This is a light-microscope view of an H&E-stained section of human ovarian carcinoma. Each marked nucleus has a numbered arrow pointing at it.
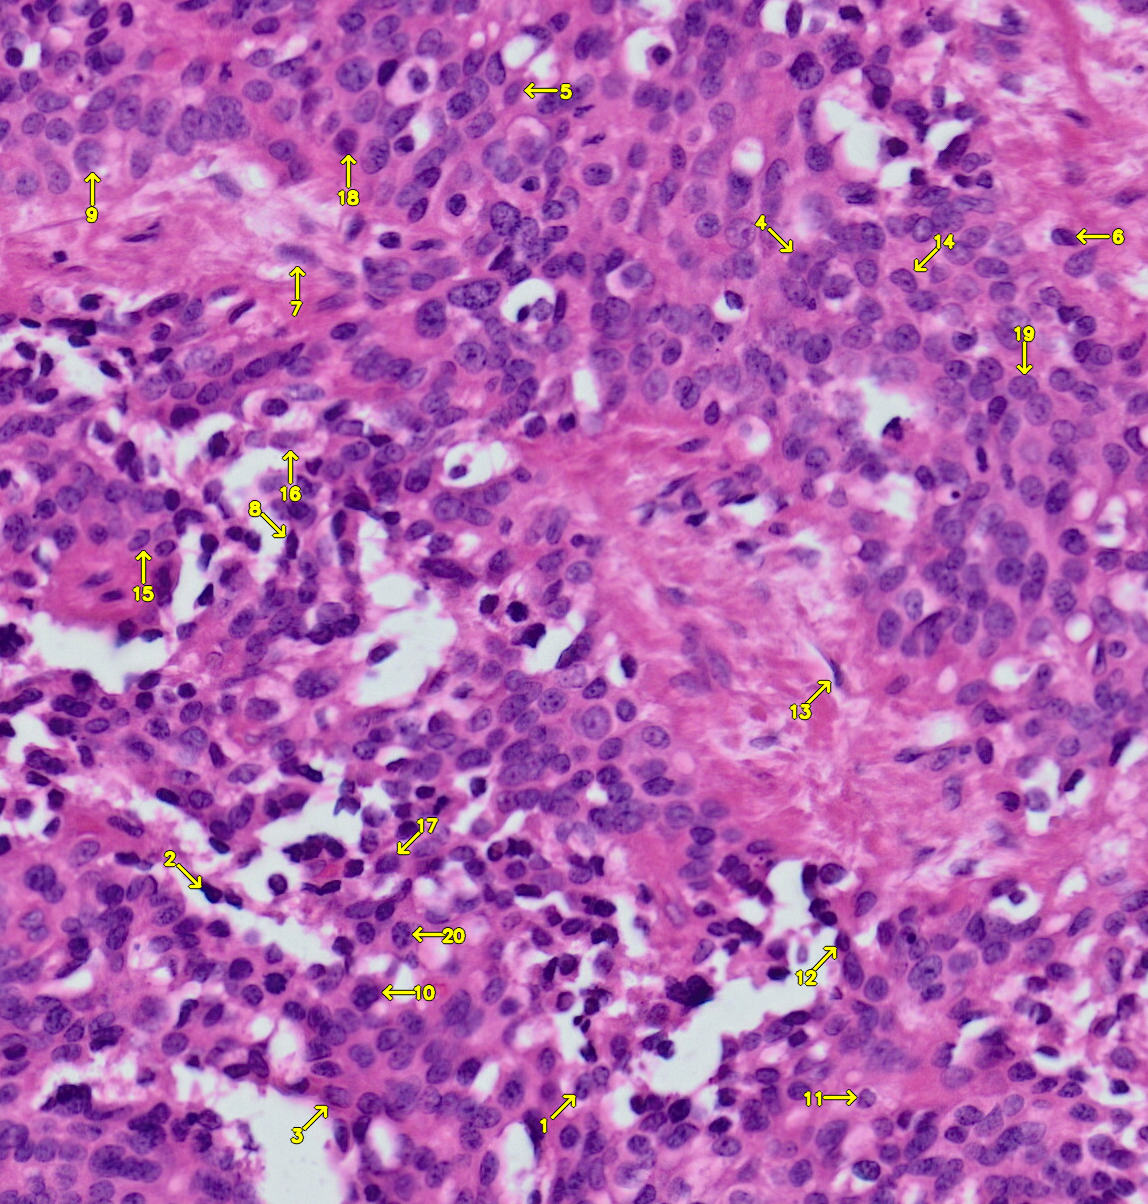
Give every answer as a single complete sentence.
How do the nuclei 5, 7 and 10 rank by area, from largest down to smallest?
Largest first, the order by area is 10, 7, 5.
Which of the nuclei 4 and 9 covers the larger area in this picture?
Nucleus 9 is larger, with an area about 2 times that of nucleus 4.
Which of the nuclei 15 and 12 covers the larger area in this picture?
At about 1.5 times the area of nucleus 12, nucleus 15 is the larger of the two.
